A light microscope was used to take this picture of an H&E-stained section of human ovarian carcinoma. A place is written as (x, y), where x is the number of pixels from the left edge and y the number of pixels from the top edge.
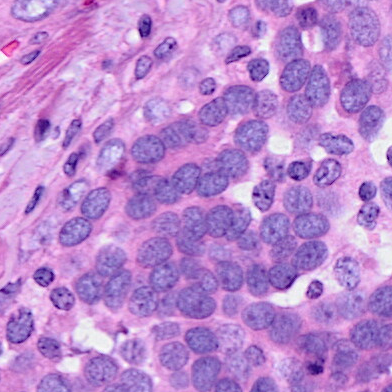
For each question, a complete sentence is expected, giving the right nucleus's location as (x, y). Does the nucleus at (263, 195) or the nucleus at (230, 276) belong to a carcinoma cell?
The nucleus at (230, 276), rather than the other one, belongs to a carcinoma cell.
